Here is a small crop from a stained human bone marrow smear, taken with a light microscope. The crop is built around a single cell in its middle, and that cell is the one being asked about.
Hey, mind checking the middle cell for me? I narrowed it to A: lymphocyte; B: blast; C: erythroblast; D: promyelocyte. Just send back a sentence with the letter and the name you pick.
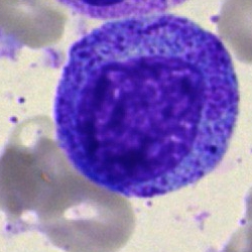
Option D is the correct option, with the middle cell being a promyelocyte.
